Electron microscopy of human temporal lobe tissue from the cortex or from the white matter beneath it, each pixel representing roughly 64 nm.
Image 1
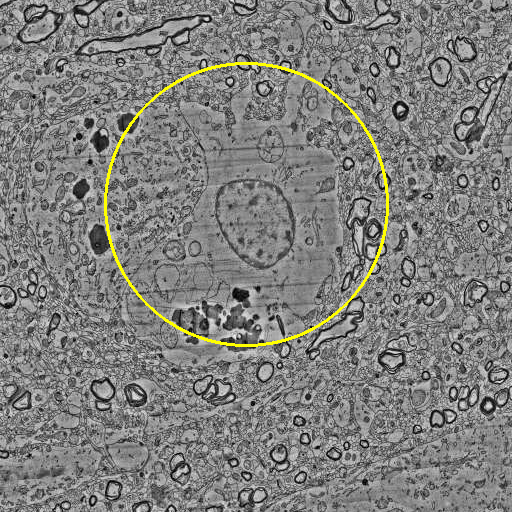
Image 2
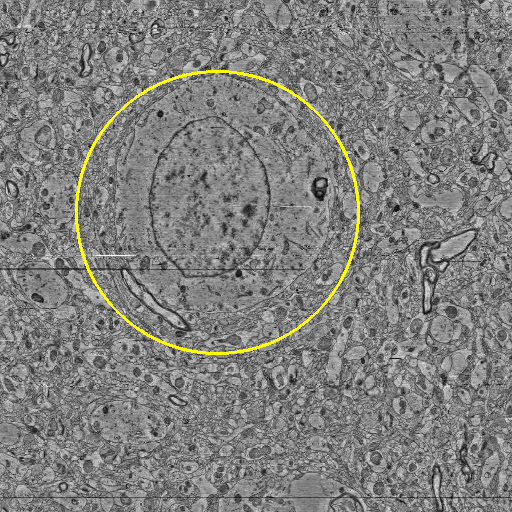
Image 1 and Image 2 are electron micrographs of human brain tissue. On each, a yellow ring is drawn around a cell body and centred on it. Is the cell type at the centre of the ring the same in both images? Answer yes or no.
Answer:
no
